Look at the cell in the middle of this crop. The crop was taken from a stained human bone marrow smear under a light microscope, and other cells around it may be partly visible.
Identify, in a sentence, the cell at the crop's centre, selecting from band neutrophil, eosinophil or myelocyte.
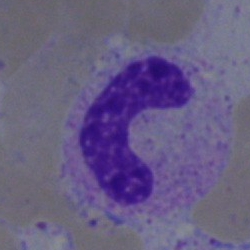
The centered cell in this crop is a band neutrophil.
